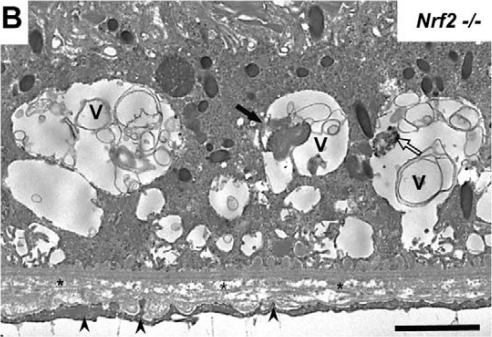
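The retinal pigment epithelium is crowded with large pale vacuoles holding whorled membranes, a fragment of dense material and some dark granular material, with only scattered dark pigment granules left in the cytoplasm. Beneath the cell base the membrane is widened and filled with loose, disordered fibrillar material above the thin capillary lining. These are vacuoles with membranous debris and undigested material, with a thickened Bruch's membrane.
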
